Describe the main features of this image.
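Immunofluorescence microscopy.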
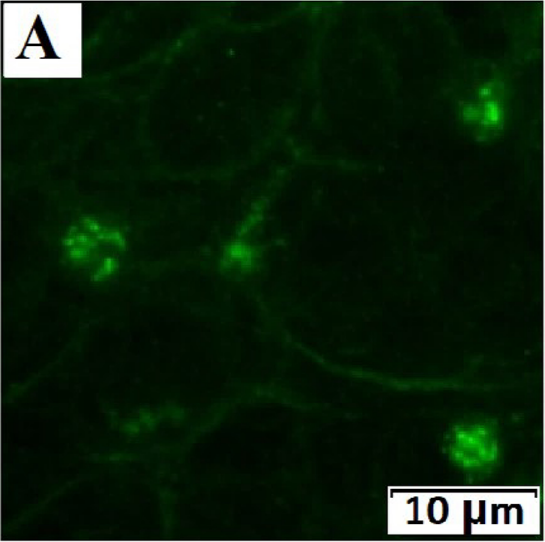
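This field shows several platelets, small blood cells without nuclei, each marked by green fluorescence. The platelets lie scattered and well apart from one another, each smaller than the scale bar. Faint green threads wander across the dark background between them.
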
